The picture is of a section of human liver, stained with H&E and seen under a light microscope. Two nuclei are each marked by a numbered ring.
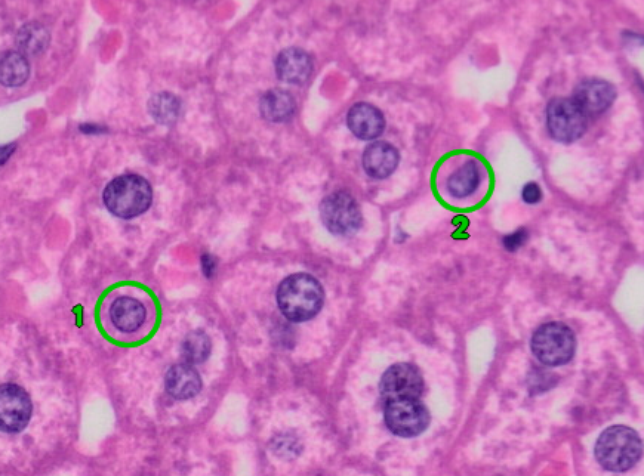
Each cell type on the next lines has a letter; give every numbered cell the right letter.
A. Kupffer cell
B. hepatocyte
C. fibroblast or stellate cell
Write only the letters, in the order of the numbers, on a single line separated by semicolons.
B; A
